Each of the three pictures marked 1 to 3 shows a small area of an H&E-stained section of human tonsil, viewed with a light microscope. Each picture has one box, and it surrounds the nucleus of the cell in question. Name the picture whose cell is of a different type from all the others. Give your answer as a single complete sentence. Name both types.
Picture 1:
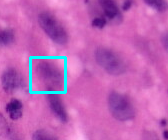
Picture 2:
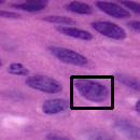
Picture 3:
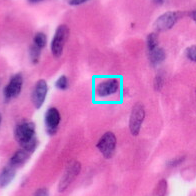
Unlike the rest, which show squamous epithelial cells, picture 3 shows a mast cell.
